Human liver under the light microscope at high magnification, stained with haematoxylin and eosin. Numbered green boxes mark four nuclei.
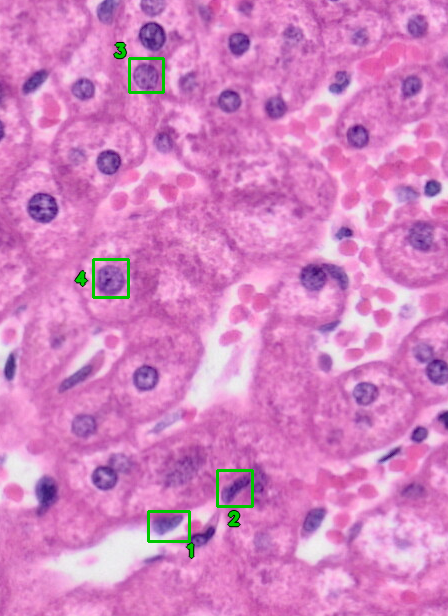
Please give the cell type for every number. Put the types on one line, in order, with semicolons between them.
endothelial cell; fibroblast or stellate cell; hepatocyte; hepatocyte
